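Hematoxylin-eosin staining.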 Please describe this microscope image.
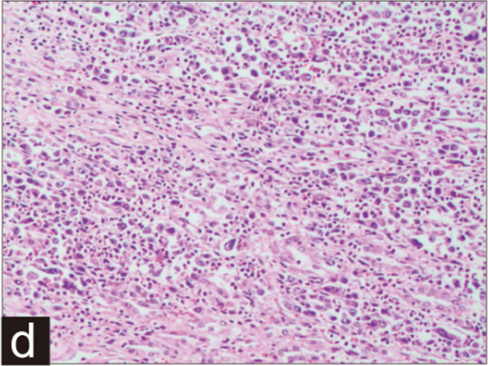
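Atypical tumour cells fill the whole field, crowded and poorly cohesive. They lie in loose sheets, small clusters and single-file strands between streaks of pale pink fibrous stroma. Their nuclei are enlarged, dark purple and irregular, and they vary greatly in size and shape from cell to cell. The stroma runs in roughly parallel bands, with tumour cells infiltrating between them. No orderly layered lining is preserved.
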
